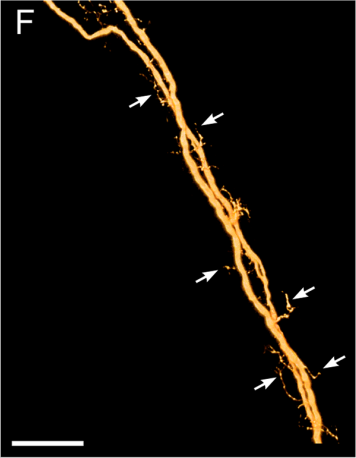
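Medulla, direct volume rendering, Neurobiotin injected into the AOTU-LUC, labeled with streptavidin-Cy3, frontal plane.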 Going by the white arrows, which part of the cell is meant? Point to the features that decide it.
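Small processes. Short thin offshoots branch from thick fibres running diagonally. The offshoots lie on both sides of the fibres.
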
